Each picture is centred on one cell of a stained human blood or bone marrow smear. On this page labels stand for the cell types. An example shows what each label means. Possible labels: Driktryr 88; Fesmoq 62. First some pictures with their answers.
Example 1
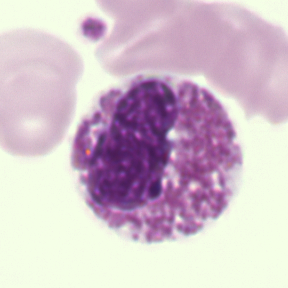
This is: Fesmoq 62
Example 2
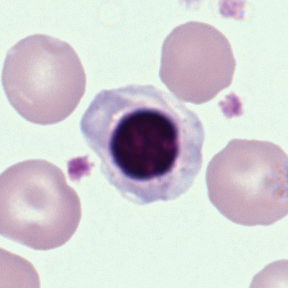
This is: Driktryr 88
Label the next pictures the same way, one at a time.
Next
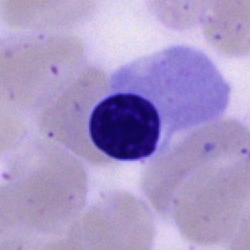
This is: Driktryr 88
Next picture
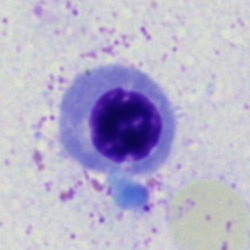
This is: Driktryr 88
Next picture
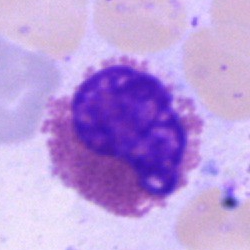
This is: Fesmoq 62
